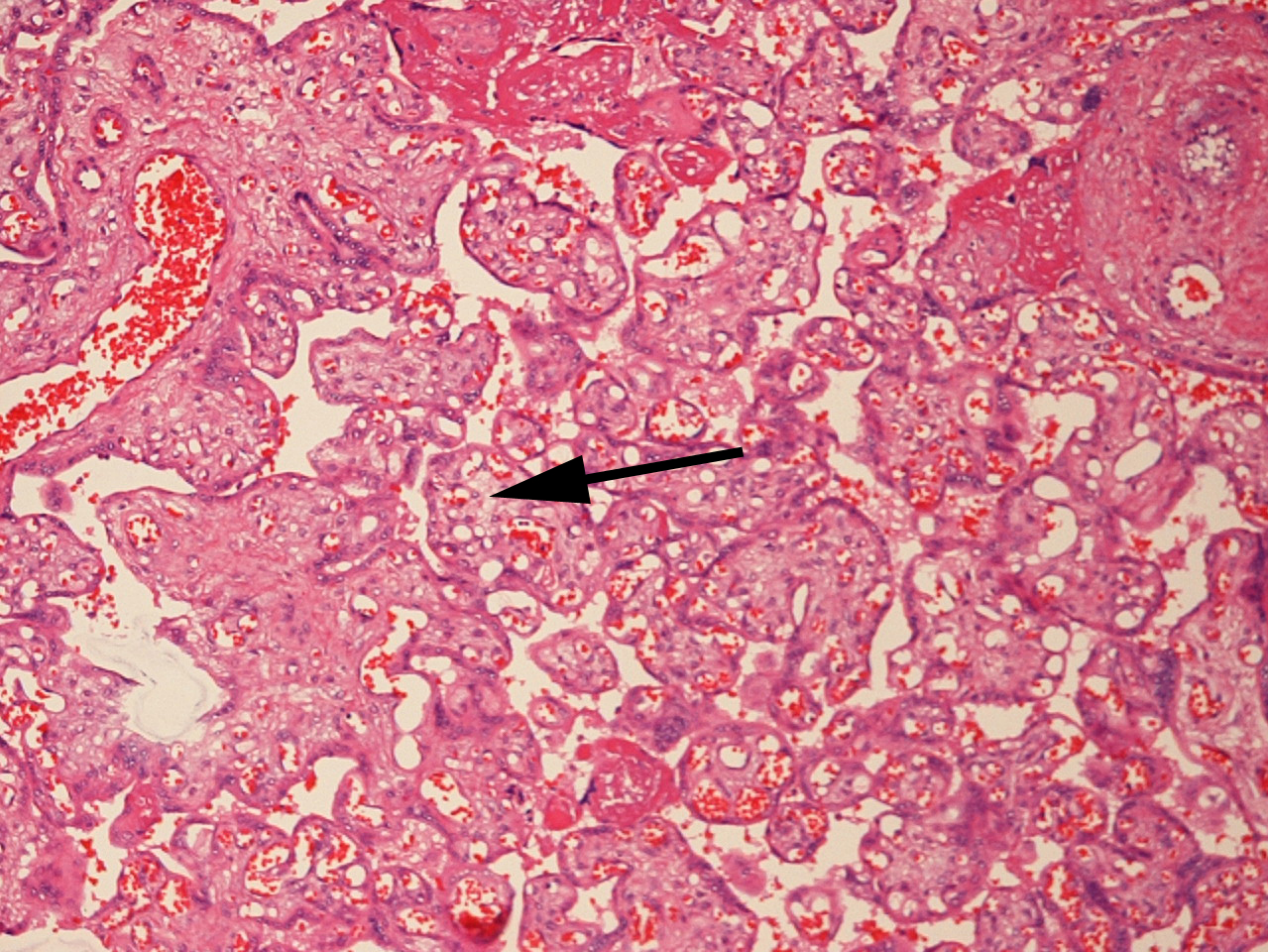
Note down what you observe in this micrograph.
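Placental villous tissue with crowded small terminal villi separated by clear intervillous space. Nearly every terminal villus contains many small round capillary lumina, several of which are packed with bright red anucleate red blood cells. The villi are covered by a thin trophoblast layer with small dark nuclei, and some show clustered nuclear knots. Larger stem villi with thick-walled vessels lie at the edges, including a big vessel filled with red cells at left and a muscular vessel at upper right. Pink fibrinoid deposits lie between some villi at the top.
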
